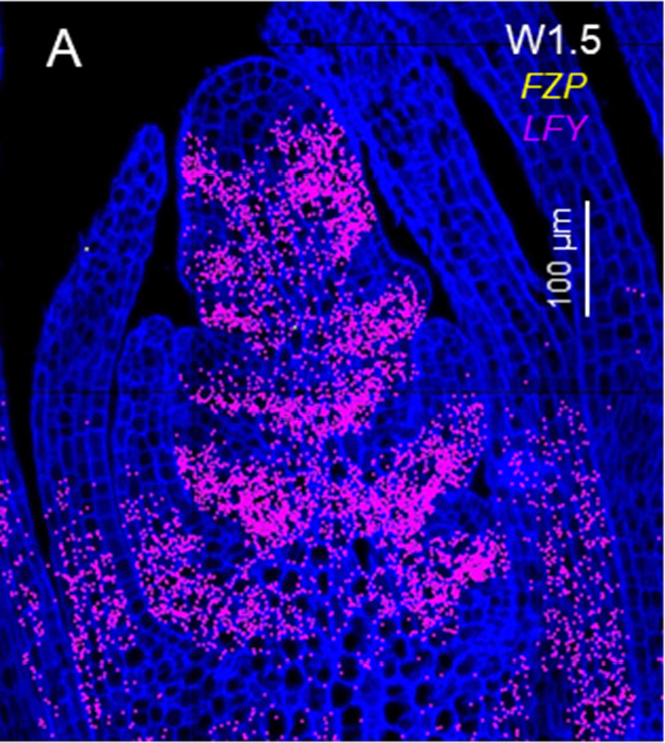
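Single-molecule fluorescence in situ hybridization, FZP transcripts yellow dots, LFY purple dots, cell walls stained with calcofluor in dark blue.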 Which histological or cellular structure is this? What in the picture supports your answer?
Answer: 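A dome-shaped apex of small densely packed cells is taller than it is wide. Leaf primordia flank the apex on both sides.
Conclusion: Elongated shoot apical meristem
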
